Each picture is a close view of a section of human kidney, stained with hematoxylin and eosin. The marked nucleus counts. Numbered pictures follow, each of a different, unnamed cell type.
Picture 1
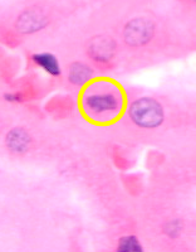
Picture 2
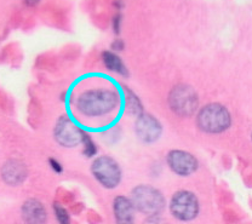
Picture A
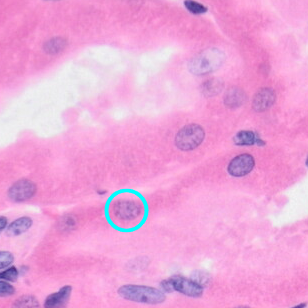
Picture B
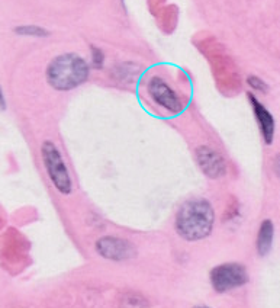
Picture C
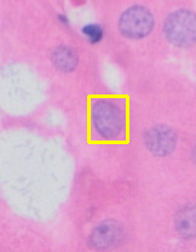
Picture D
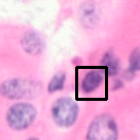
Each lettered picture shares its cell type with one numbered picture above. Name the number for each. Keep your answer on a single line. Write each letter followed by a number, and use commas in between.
A 1, B 2, C 1, D 2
